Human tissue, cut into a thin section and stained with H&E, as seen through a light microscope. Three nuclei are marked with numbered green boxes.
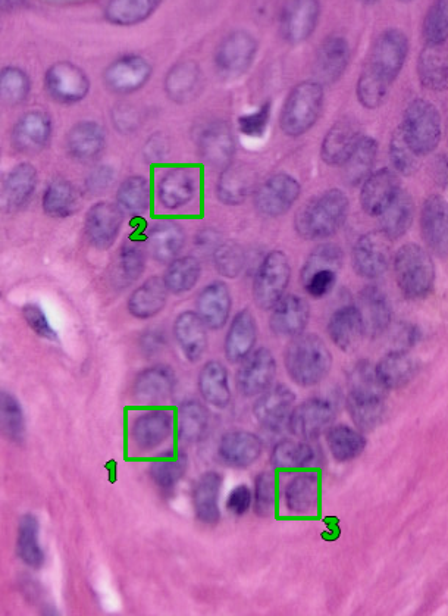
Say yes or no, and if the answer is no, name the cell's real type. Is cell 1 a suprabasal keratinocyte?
No, it is a basal keratinocyte.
